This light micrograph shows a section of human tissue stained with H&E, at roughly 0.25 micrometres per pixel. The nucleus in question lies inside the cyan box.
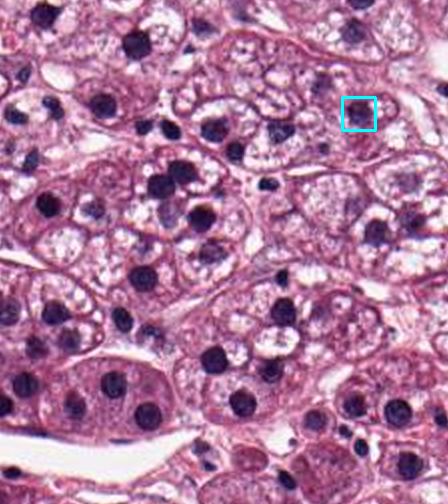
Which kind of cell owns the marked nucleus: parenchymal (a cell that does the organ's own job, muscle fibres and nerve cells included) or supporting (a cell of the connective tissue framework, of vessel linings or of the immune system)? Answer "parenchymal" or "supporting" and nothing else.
parenchymal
